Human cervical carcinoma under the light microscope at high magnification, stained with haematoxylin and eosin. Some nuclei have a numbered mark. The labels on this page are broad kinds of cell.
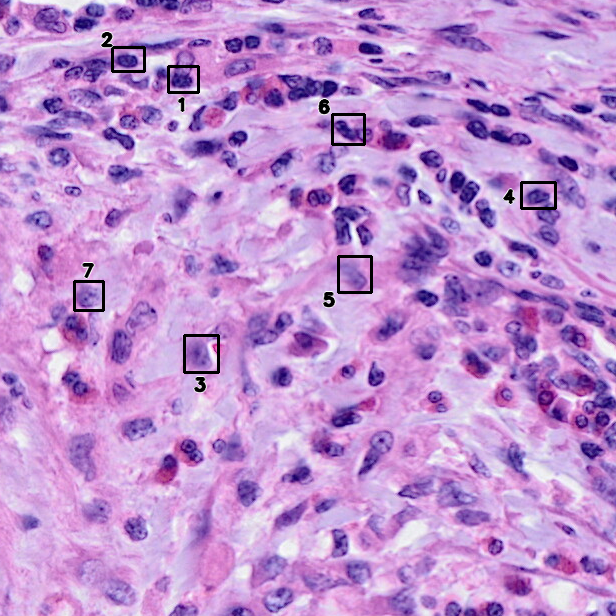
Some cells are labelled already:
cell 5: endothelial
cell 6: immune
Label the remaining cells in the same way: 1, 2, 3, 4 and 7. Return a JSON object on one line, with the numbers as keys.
{"1": "immune", "2": "immune", "3": "endothelial", "4": "immune", "7": "immune"}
